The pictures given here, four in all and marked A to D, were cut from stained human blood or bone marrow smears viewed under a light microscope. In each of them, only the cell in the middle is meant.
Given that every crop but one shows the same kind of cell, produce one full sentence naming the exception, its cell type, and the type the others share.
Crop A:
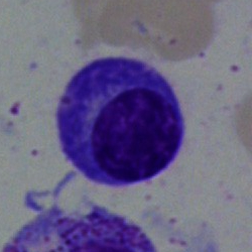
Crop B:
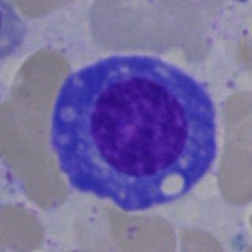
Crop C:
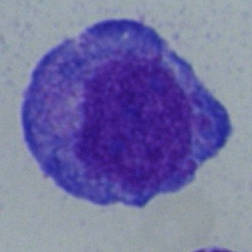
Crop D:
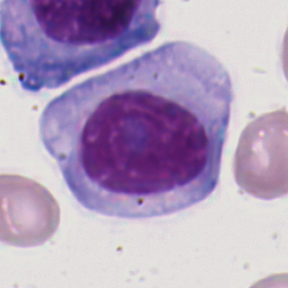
Whereas the other crops all show plasma cells, crop C shows a promyelocyte.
